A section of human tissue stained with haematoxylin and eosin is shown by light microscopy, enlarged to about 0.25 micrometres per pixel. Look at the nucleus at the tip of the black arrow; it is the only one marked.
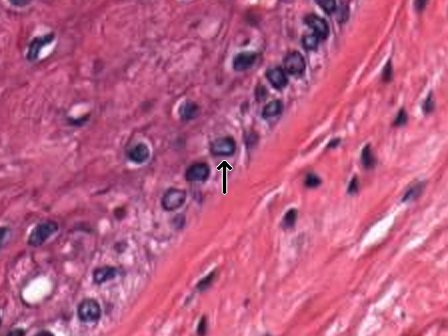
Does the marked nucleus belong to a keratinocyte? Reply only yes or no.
yes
